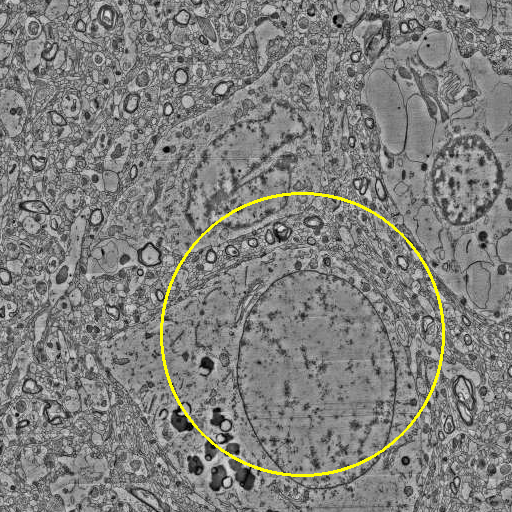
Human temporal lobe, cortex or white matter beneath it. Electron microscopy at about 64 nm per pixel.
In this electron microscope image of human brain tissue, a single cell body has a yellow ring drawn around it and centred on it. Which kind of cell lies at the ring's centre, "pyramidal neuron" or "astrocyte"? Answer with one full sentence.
It is a pyramidal neuron whose cell body lies at the centre of the yellow ring here.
